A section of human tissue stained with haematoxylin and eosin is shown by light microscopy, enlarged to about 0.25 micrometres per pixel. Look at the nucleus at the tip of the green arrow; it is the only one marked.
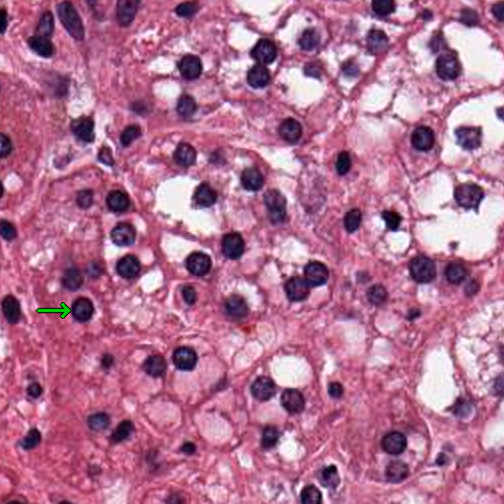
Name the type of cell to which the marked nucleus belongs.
adrenal cortical cell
